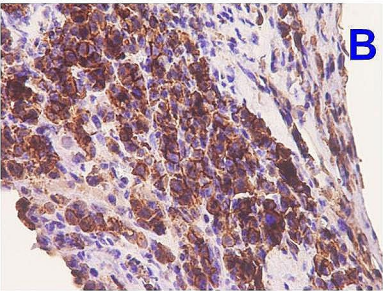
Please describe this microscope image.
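The stroma on the right contains scattered elongated and spindle-shaped cells with blue nuclei that are mostly unstained, lying among pale fibres. Some brown cells extend in strands into the stroma at the edge of the cluster.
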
